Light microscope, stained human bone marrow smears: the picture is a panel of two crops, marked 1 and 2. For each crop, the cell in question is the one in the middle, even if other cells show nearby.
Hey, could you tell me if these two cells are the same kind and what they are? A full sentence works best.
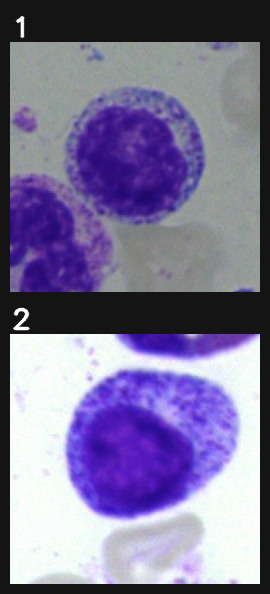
Yes, what both crops show at their centres are myelocytes.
